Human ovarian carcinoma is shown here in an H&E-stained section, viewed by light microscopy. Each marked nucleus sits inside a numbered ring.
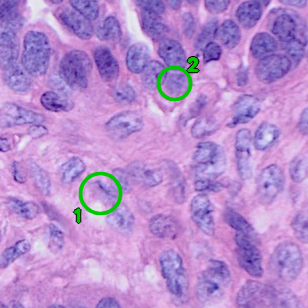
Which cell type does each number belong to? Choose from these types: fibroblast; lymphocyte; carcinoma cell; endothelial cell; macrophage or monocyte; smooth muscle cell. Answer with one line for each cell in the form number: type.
1: fibroblast
2: carcinoma cell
